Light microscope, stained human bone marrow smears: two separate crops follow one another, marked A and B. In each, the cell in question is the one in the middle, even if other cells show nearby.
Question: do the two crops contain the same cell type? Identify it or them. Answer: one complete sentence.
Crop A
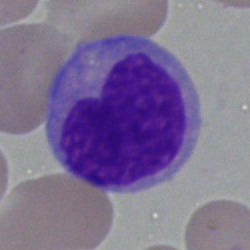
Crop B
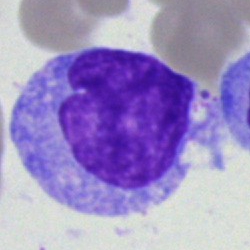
Yes, both of the crops in this pair show monocytes, one cell in each crop.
